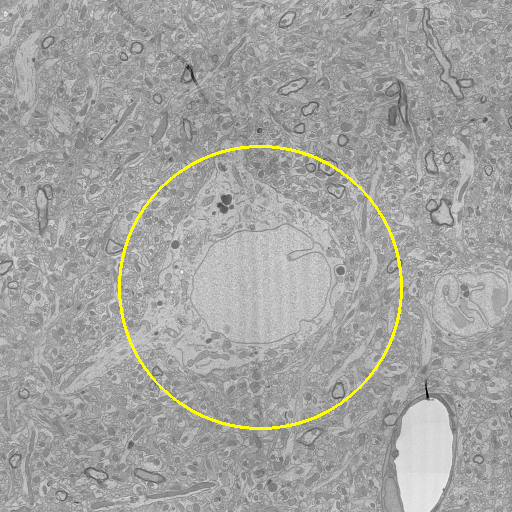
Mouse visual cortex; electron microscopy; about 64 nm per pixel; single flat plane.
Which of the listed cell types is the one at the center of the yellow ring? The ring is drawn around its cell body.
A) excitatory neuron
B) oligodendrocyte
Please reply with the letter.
A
